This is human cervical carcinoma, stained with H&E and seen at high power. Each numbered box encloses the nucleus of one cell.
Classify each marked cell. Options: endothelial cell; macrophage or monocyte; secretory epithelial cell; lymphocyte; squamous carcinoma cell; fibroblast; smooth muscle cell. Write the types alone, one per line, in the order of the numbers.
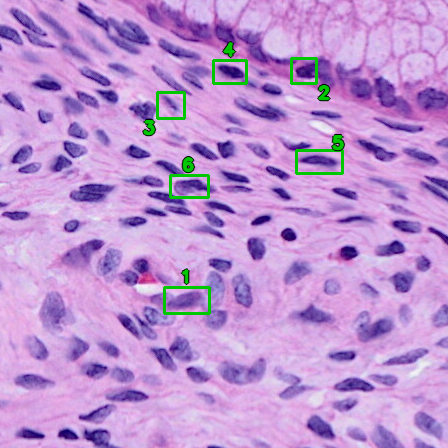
endothelial cell
secretory epithelial cell
fibroblast
lymphocyte
fibroblast
fibroblast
